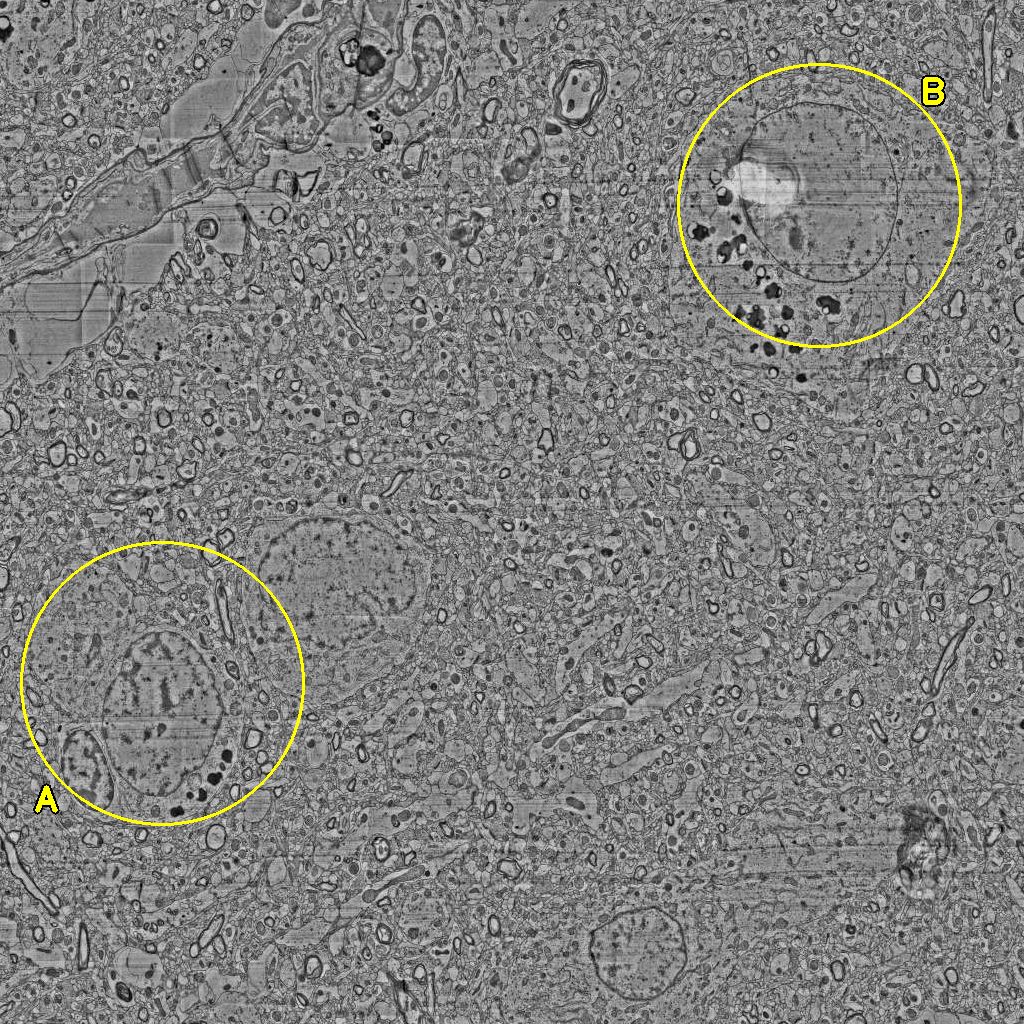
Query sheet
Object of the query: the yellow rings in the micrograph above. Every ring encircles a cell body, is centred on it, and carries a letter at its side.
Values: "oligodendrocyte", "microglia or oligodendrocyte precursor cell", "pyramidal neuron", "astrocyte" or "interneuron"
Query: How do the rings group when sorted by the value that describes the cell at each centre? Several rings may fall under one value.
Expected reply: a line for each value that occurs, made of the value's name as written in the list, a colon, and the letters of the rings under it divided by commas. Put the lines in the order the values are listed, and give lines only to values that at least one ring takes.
pyramidal neuron: B
interneuron: A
